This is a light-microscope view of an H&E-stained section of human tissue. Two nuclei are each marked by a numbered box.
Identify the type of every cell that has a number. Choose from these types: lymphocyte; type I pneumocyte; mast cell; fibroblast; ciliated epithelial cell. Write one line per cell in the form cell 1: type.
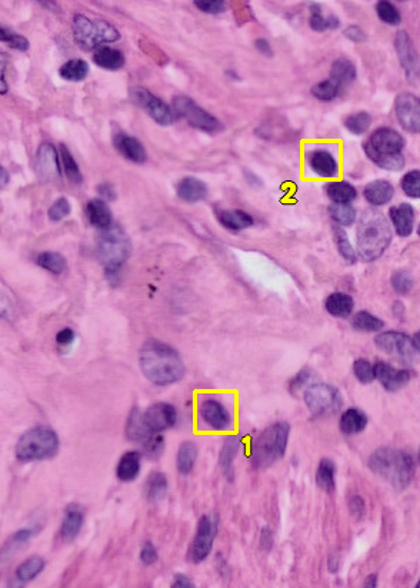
cell 1: mast cell
cell 2: lymphocyte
